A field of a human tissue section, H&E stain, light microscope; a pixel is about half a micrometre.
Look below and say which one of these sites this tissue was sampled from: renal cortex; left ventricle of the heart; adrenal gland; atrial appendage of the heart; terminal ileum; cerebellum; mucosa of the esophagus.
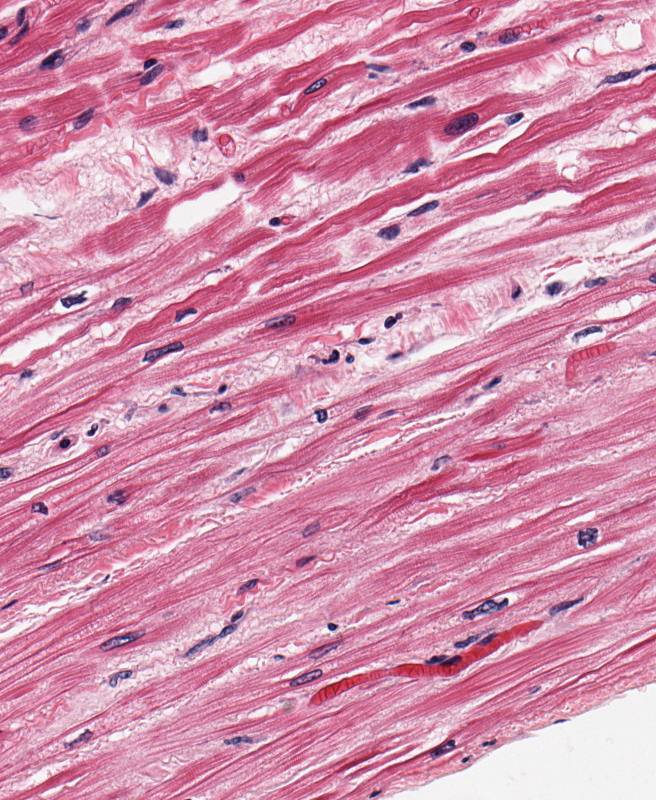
atrial appendage of the heart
